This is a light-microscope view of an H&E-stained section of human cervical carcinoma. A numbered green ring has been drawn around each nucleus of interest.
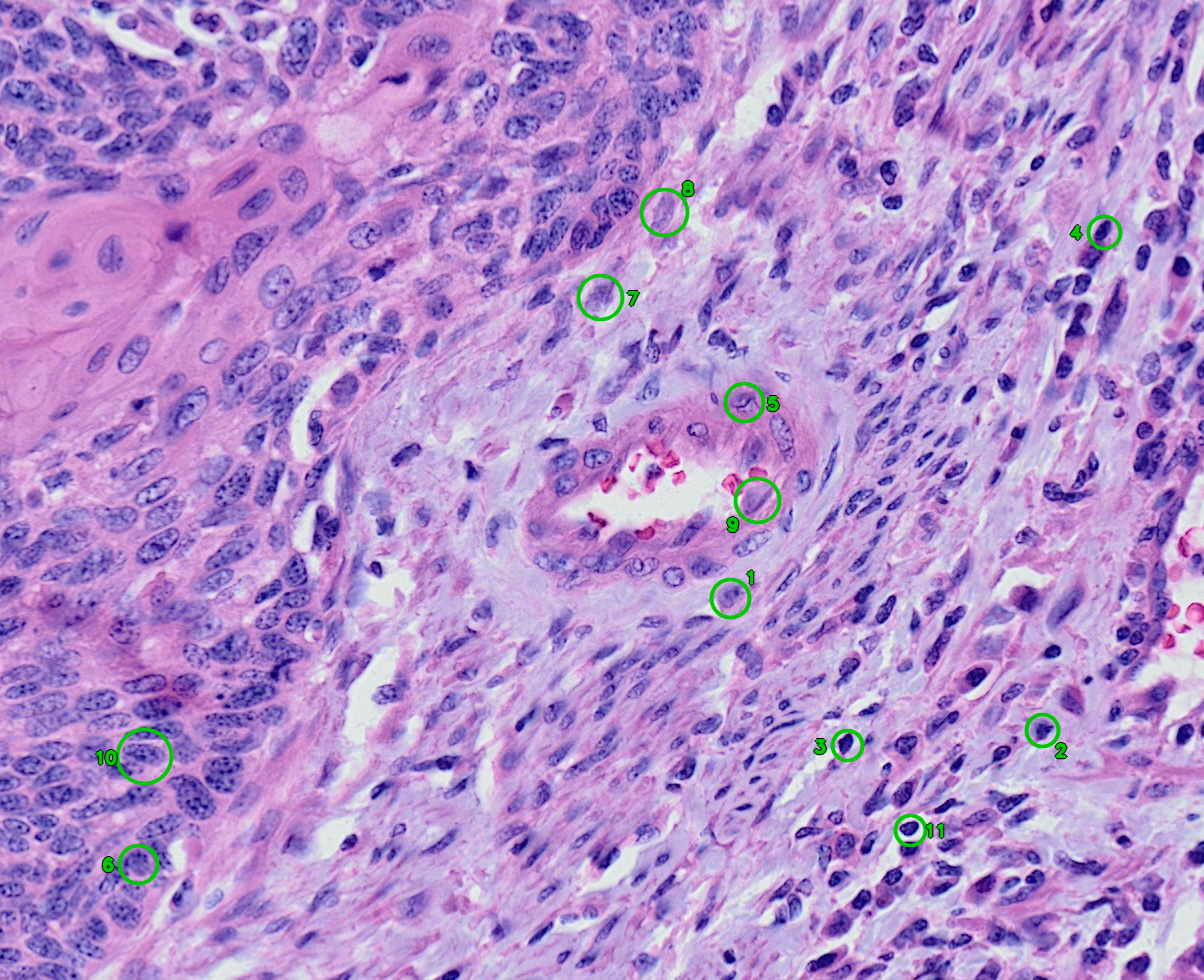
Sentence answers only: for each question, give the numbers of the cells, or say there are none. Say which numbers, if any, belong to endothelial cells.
Across all the numbered cells, only number 9 is an endothelial cell.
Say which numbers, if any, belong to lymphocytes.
The cells with numbers 2, 3, 4 and 11 are lymphocytes by type.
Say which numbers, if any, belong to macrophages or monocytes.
Cell 1 is the single numbered cell that is a macrophage or monocyte.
